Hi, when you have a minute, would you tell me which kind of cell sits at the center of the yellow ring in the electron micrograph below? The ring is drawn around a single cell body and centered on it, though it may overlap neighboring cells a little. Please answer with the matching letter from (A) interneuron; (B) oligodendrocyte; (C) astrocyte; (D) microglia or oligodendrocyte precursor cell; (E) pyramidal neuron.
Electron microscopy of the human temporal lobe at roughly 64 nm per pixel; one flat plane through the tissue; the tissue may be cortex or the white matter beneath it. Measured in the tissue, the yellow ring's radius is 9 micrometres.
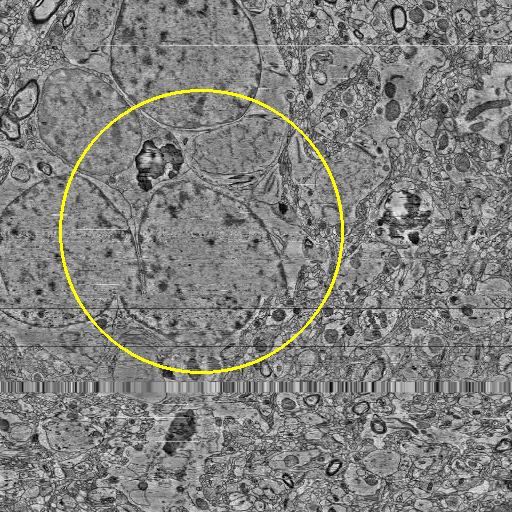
C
